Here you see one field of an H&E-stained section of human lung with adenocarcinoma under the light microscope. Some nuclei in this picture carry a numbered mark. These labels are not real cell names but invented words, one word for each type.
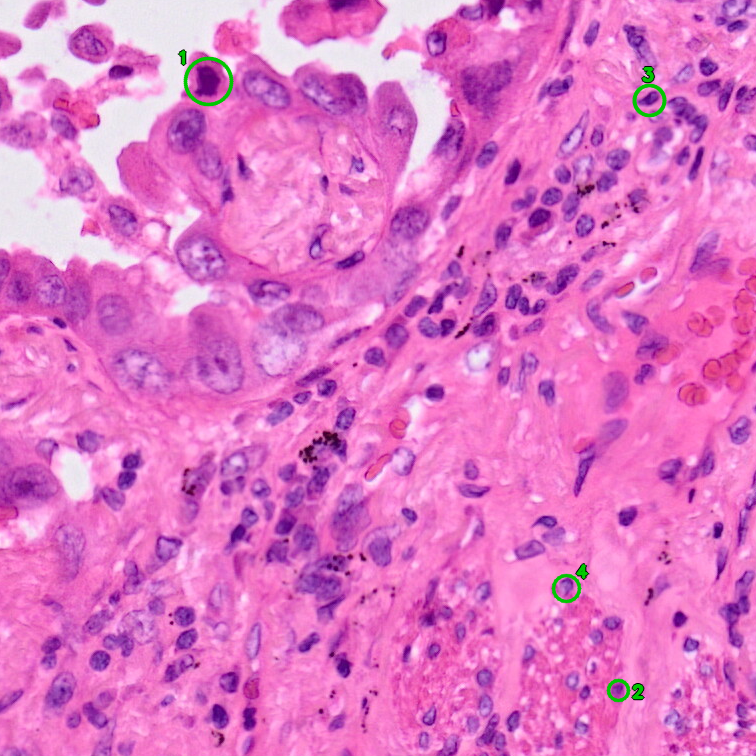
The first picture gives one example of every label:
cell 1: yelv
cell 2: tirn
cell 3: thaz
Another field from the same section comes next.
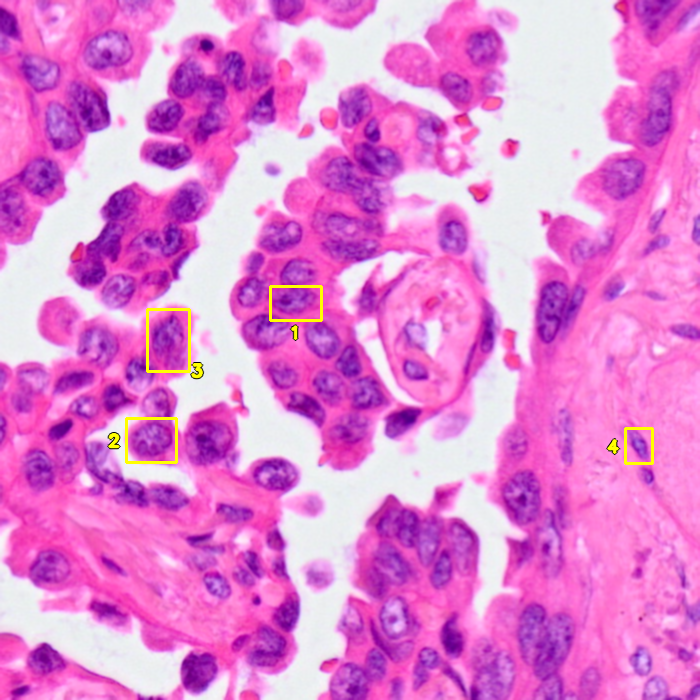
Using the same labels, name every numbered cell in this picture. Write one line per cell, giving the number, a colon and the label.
1: yelv
2: yelv
3: yelv
4: tirn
